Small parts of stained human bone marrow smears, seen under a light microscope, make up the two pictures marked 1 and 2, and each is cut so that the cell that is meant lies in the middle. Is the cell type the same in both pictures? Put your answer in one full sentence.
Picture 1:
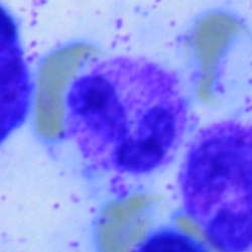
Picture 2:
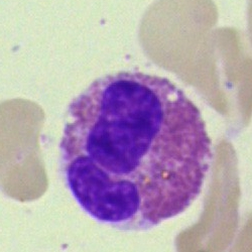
No, the types are not the same, since picture 1 shows a segmented neutrophil and picture 2 an eosinophil.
